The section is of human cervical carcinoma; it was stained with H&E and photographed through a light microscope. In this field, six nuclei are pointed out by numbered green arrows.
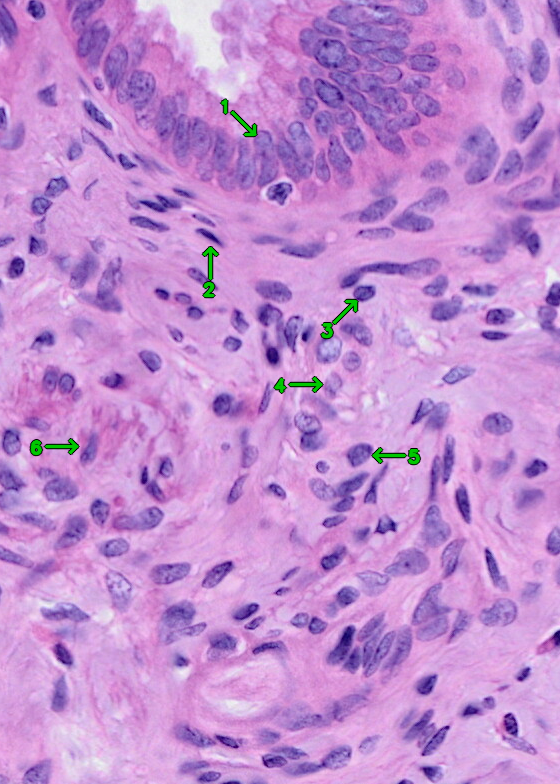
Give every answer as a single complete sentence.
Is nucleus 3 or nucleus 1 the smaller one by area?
The smaller nucleus is 3, and 1 covers roughly 1.5 times its area.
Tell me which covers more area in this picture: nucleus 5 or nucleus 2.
Number 5 is larger; its area is about 2 times that of number 2.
